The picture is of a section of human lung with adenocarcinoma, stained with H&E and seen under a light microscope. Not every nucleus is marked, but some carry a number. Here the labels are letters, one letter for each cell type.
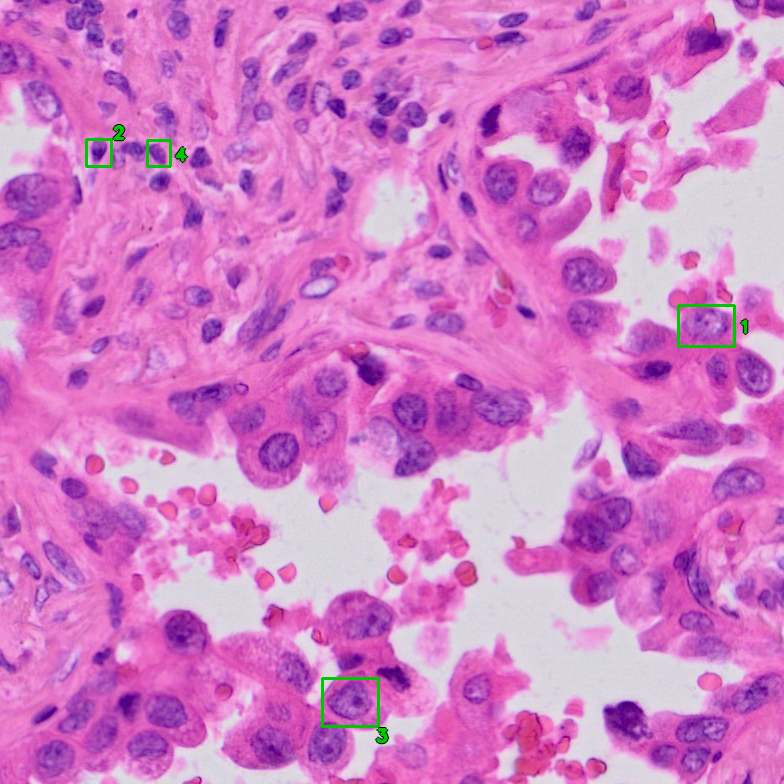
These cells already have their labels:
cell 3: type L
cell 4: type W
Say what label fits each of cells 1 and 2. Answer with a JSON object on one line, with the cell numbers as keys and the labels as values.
{"1": "type L", "2": "type W"}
